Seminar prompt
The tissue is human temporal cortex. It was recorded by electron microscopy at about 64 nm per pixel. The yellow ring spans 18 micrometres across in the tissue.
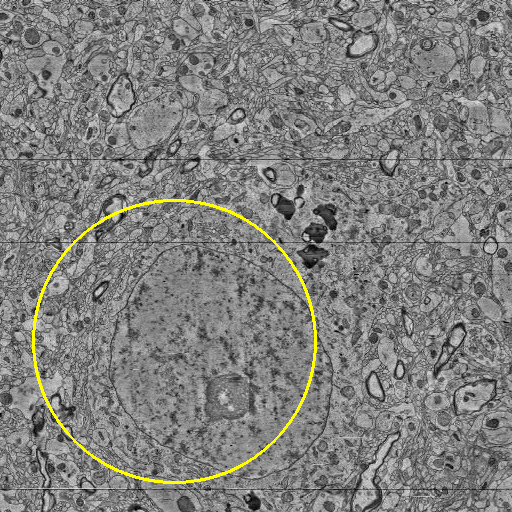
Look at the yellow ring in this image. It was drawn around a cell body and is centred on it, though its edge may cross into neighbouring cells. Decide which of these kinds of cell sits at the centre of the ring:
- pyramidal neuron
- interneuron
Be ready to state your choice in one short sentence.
The kind of cell at the ring's centre is a pyramidal neuron.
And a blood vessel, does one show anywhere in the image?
No, no vessel appears in the picture.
